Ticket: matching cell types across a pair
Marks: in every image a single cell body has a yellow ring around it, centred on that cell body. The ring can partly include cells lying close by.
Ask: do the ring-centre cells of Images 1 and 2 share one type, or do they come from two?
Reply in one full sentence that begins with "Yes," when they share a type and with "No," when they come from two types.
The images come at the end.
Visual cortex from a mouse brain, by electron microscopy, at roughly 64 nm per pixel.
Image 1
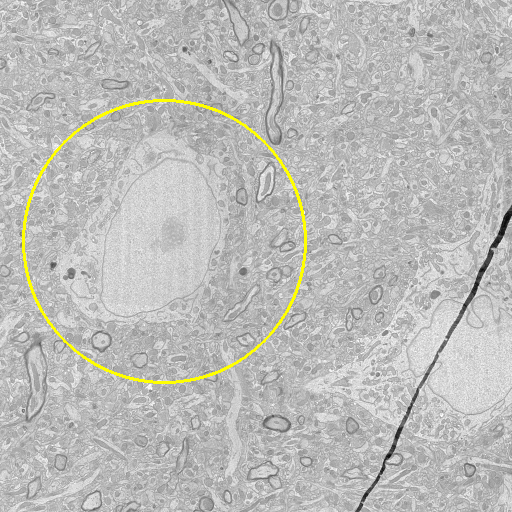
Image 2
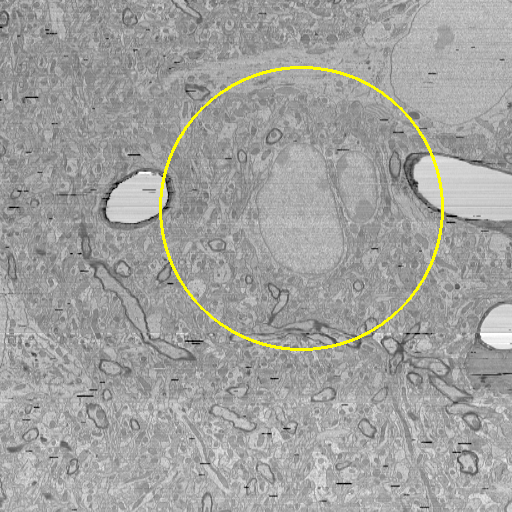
No, the cells in the centres of the rings in Image 1 and Image 2 come from two types.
